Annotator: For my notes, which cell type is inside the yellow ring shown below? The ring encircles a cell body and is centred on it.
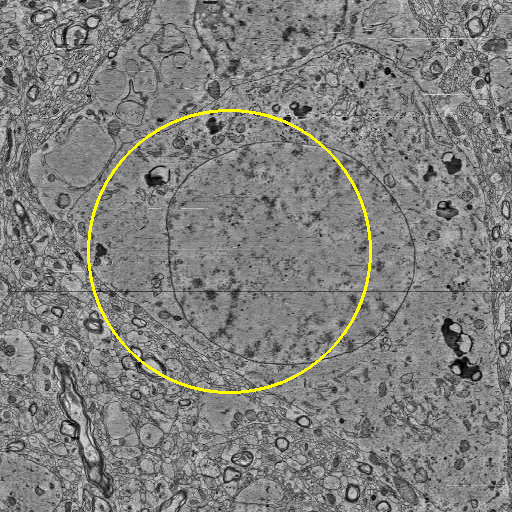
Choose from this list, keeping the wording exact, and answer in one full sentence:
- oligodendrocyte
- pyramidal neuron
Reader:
At the centre of the yellow ring there is a pyramidal neuron, as shown in the picture.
